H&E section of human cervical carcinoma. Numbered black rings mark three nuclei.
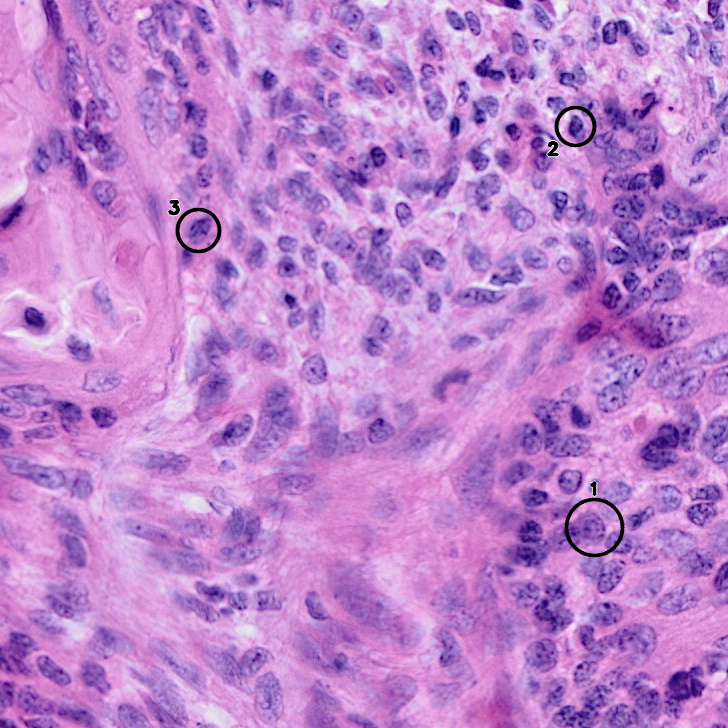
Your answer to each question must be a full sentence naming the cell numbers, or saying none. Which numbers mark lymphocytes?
Cell 2 is the single numbered cell that is a lymphocyte.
